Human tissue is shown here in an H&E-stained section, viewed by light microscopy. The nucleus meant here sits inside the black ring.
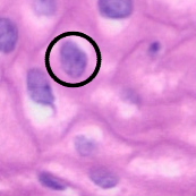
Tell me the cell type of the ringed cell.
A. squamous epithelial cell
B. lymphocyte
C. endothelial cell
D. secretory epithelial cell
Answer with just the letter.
A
